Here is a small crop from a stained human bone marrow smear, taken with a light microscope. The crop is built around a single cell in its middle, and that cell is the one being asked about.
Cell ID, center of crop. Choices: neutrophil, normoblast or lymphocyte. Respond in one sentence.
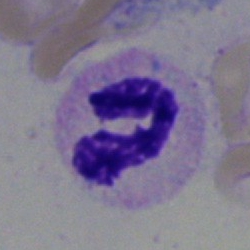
The centered cell in this crop is a neutrophil.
